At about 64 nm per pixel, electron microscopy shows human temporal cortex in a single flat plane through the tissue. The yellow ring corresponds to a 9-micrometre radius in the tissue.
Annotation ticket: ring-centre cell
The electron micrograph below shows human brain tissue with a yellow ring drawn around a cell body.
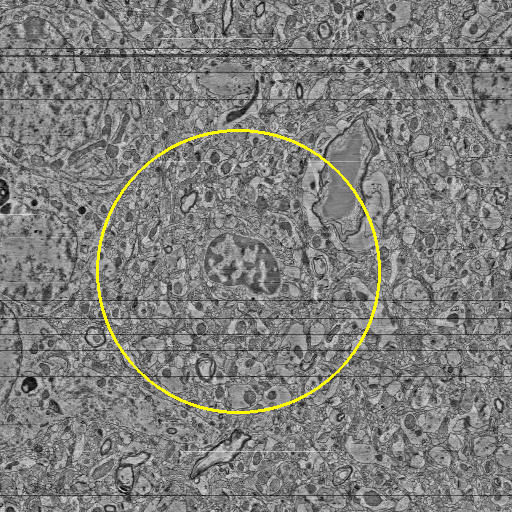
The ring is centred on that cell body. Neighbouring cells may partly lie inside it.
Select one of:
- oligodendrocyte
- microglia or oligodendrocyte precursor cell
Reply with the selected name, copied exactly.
microglia or oligodendrocyte precursor cell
